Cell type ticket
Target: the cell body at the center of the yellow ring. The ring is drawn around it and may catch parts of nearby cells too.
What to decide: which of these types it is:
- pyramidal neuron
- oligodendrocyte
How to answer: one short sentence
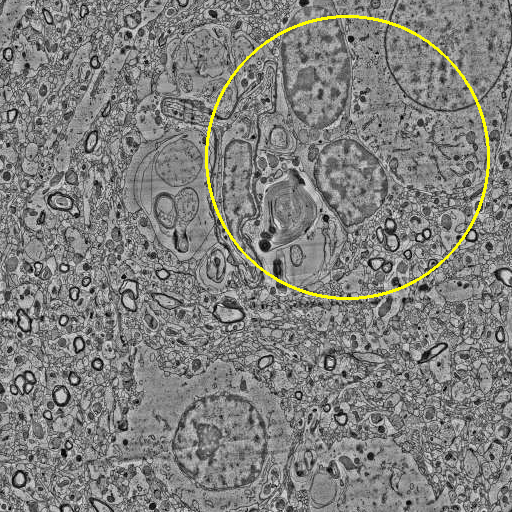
The cell at the center of the ring is an oligodendrocyte.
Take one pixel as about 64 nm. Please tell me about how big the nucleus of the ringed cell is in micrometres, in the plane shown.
About 6 by 5 micrometers, in this plane.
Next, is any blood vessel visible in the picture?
Yes, a blood vessel shows in the picture.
